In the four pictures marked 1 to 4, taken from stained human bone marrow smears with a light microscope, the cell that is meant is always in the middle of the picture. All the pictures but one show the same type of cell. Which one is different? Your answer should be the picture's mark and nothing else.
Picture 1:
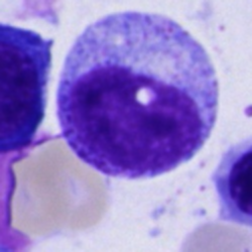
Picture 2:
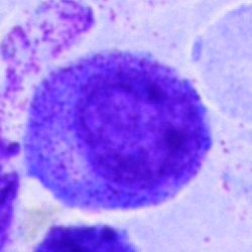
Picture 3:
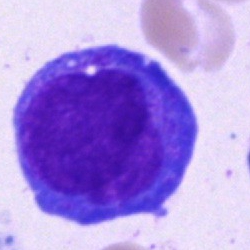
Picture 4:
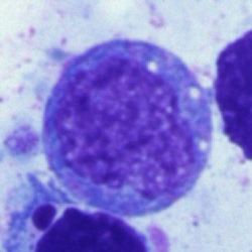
3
